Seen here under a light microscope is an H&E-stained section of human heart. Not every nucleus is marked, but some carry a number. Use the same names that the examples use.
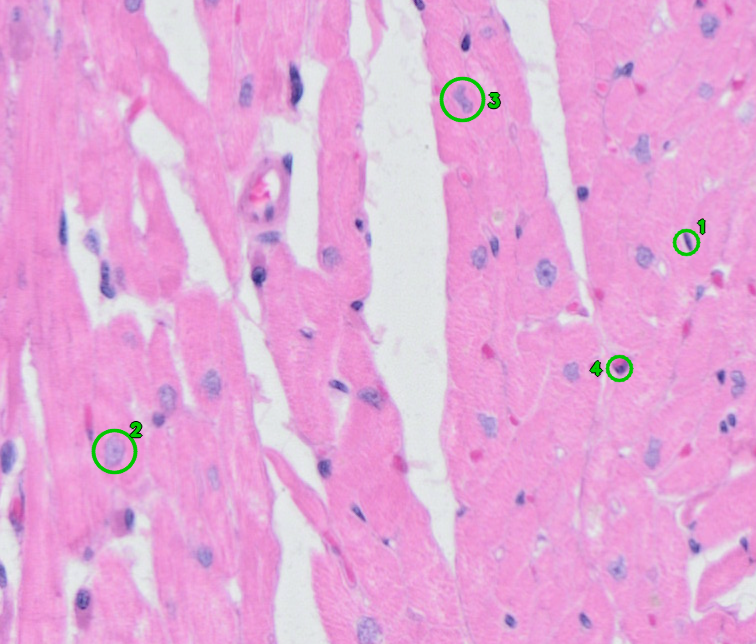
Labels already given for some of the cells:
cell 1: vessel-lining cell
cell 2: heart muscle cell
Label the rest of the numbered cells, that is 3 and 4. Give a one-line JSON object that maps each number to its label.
{"3": "heart muscle cell", "4": "vessel-lining cell"}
